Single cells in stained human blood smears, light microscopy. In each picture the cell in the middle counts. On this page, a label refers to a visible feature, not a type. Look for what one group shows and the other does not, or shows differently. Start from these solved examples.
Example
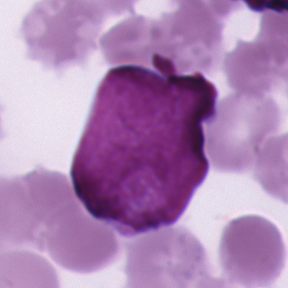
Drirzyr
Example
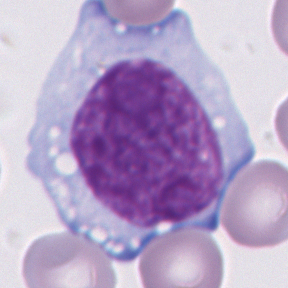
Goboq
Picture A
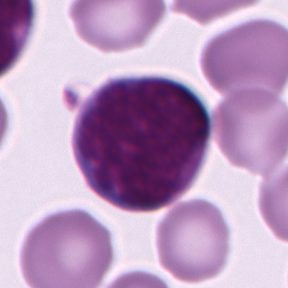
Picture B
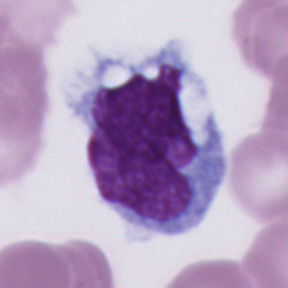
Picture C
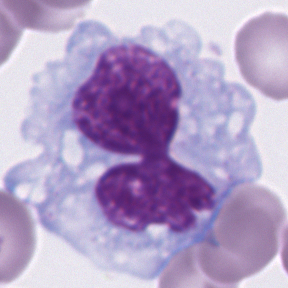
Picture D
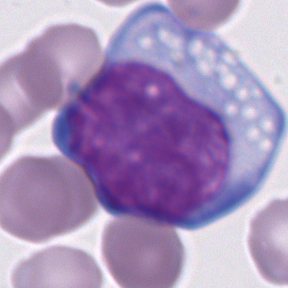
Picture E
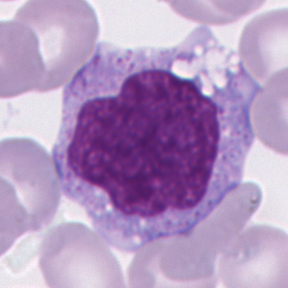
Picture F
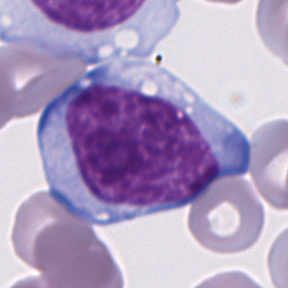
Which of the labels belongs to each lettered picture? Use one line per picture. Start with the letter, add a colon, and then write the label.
A: Drirzyr
B: Goboq
C: Goboq
D: Goboq
E: Goboq
F: Goboq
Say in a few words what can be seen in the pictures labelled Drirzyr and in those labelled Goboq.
Seen in Drirzyr: no vacuoles; seen in Goboq: vacuoles present.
